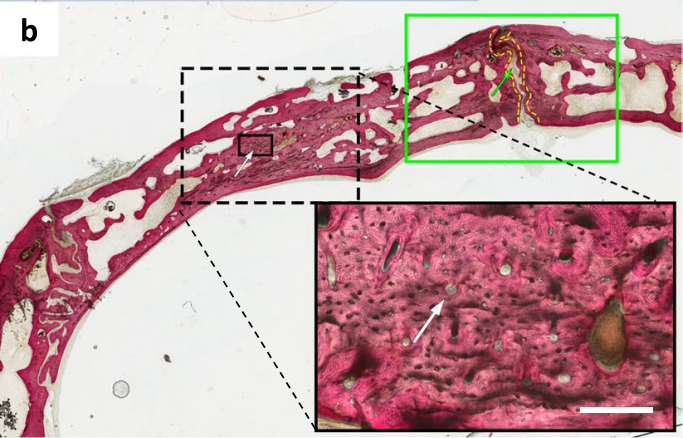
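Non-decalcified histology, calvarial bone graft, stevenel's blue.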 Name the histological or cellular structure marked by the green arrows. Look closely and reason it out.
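A narrow gap crosses the red bone plate between yellow dashed lines. Bone on either side of the gap is not joined across it.
Hence: Patent sutures.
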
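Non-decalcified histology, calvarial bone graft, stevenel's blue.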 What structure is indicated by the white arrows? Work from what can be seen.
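The arrow in the enlarged inset points to a small round canal within the red bone matrix. The surrounding bone is dotted with small lacunae.
Blood vessels.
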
